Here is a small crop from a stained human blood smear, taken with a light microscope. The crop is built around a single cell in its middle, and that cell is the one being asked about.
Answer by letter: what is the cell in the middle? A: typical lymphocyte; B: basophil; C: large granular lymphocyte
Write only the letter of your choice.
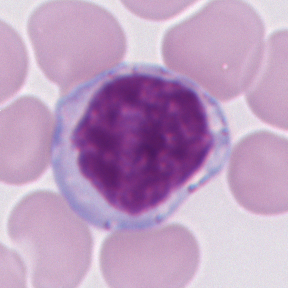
C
